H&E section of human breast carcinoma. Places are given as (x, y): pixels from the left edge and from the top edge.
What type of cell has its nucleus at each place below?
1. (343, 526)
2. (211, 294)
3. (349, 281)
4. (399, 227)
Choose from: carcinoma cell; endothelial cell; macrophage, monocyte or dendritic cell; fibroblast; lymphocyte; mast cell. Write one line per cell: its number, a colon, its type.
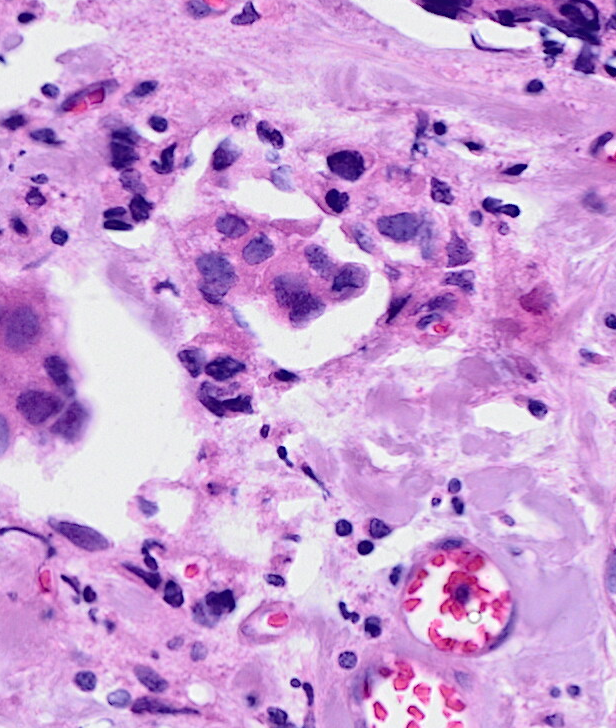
1: lymphocyte
2: carcinoma cell
3: carcinoma cell
4: carcinoma cell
